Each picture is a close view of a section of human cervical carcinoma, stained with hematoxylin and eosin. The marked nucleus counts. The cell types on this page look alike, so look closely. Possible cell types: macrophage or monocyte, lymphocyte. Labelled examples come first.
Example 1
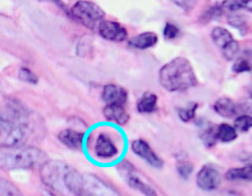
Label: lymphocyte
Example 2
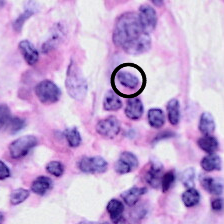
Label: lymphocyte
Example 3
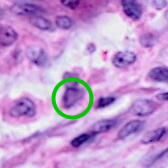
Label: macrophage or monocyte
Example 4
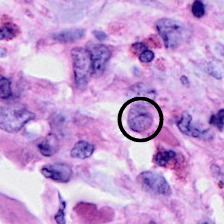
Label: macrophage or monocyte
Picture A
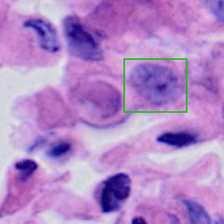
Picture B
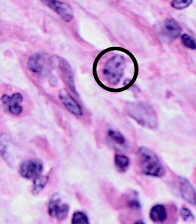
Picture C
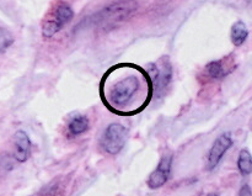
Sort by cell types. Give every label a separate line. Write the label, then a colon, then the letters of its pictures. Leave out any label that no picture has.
macrophage or monocyte: A, B, C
